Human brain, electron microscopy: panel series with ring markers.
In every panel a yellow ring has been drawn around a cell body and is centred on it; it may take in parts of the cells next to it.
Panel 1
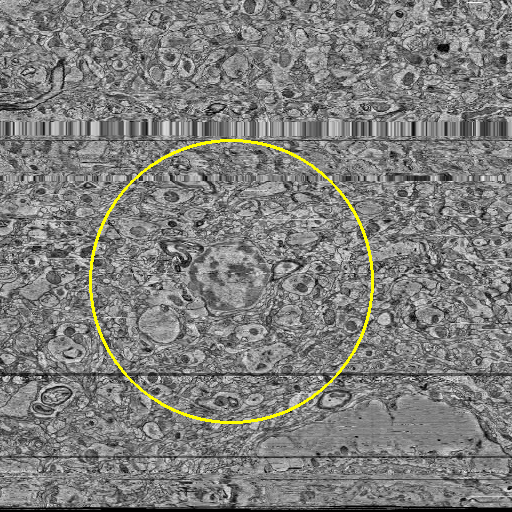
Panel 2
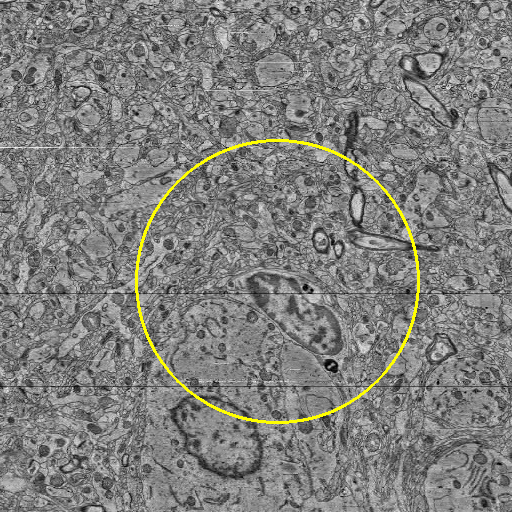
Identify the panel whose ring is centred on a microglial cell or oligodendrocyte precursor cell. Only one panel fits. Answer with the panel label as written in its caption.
Panel 2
